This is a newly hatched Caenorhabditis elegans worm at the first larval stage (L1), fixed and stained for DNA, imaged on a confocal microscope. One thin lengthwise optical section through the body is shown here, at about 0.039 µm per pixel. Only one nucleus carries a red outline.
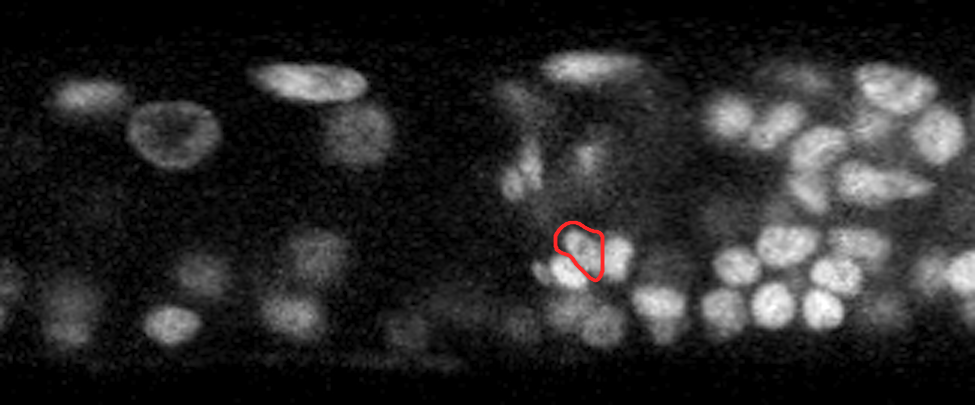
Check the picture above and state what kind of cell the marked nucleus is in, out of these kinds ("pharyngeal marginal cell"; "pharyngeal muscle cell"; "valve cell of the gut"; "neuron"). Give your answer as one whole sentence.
What is marked is the nucleus of a pharyngeal muscle cell.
